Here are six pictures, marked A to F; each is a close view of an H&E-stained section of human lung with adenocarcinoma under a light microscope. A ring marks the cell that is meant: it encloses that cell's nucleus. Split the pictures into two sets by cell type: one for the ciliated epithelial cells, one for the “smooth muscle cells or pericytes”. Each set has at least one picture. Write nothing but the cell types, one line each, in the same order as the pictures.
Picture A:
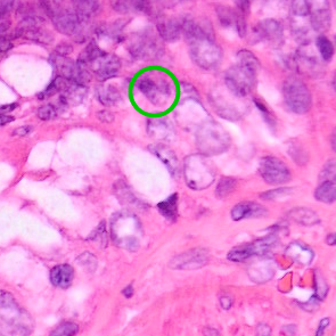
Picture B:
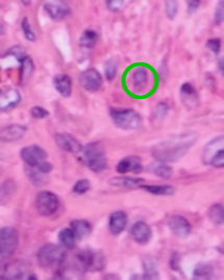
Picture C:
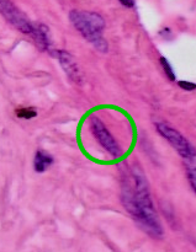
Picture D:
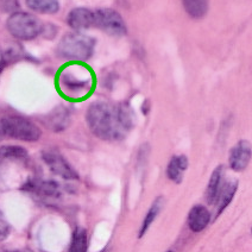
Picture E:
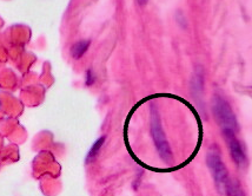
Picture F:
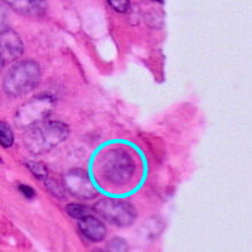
ciliated epithelial cell
smooth muscle cell or pericyte
smooth muscle cell or pericyte
ciliated epithelial cell
smooth muscle cell or pericyte
ciliated epithelial cell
